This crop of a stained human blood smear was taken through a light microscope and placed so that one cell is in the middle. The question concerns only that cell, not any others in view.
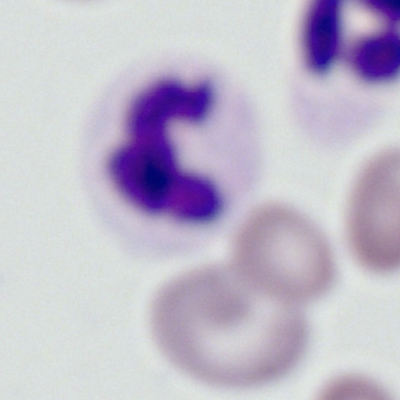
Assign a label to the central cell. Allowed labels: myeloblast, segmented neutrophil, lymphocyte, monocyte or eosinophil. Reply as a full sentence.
In the center of this field lies a segmented neutrophil.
